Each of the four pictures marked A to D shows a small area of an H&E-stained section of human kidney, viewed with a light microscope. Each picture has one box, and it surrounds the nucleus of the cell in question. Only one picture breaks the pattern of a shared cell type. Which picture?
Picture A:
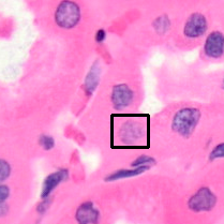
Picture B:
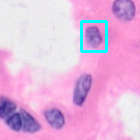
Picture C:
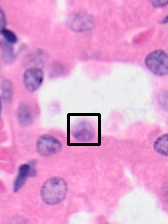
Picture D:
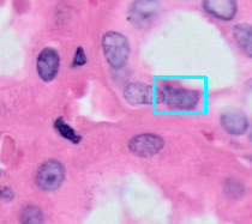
D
